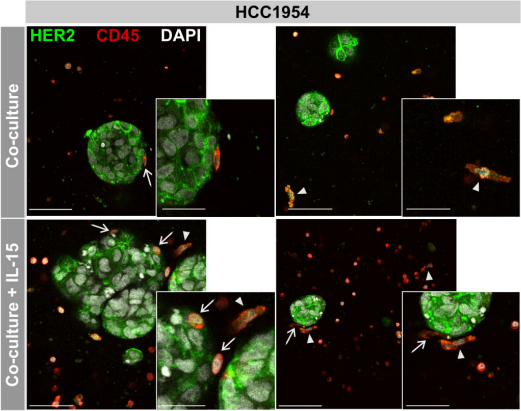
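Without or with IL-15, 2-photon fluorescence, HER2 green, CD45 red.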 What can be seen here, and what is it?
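Breast cancer cells form compact, rounded spheroid aggregates in which each cell is outlined by a bright green membrane rim around a large, pale grey-white nucleus. Scattered around the aggregates lie much smaller immune cells, rimmed in red with small round nuclei; many are isolated, some are drawn out into elongated shapes, and several sit directly against the outer surface of the cancer cell clusters. Enlarged insets show these small red cells closely apposed to the green membranes of the tumour cells.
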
